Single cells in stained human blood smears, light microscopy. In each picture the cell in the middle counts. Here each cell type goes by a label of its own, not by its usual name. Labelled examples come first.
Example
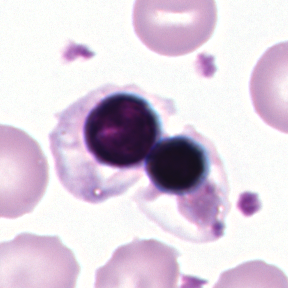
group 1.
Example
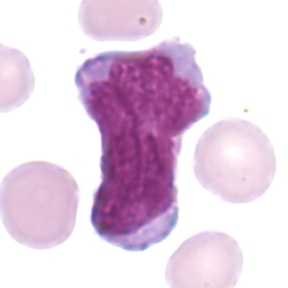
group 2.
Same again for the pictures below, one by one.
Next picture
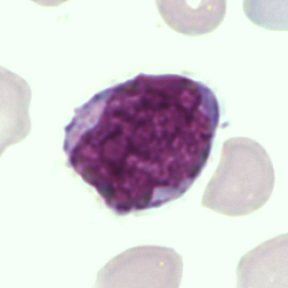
group 2.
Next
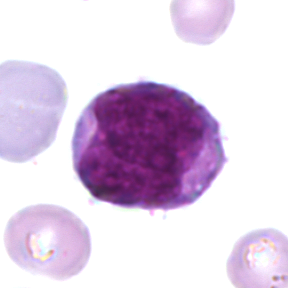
group 2.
